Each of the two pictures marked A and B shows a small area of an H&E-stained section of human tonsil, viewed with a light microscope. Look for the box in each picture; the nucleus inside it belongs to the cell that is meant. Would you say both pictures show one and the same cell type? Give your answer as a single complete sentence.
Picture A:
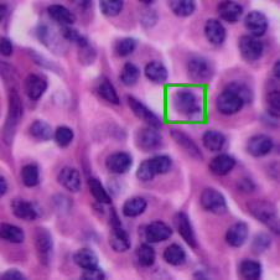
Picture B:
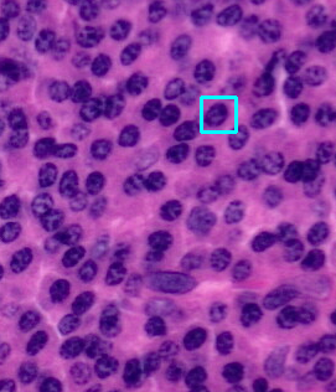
Yes, they are the same type: both are plasma cells.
